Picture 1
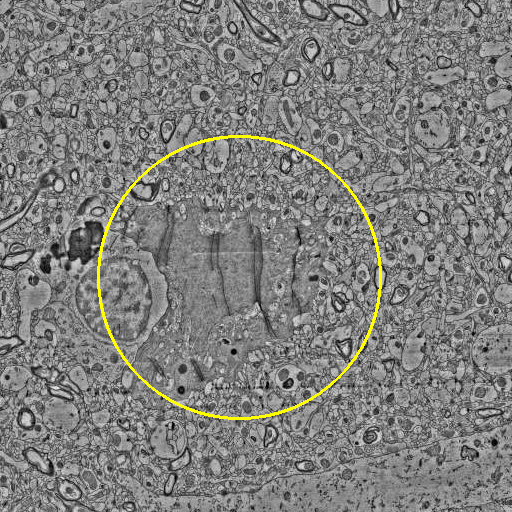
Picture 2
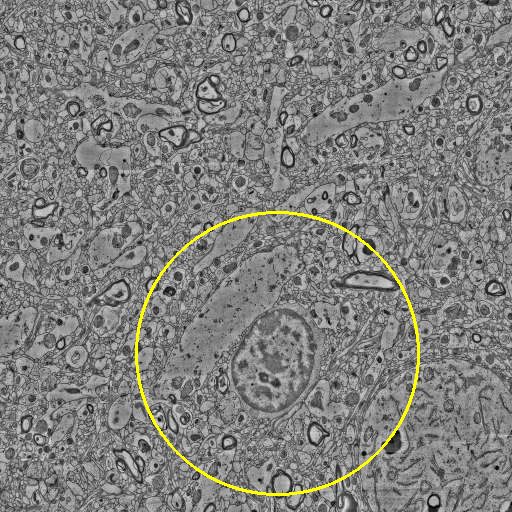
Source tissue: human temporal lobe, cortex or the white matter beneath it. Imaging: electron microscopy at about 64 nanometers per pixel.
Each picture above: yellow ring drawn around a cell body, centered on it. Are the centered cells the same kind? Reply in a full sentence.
No, the two cells are two kinds of cell.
